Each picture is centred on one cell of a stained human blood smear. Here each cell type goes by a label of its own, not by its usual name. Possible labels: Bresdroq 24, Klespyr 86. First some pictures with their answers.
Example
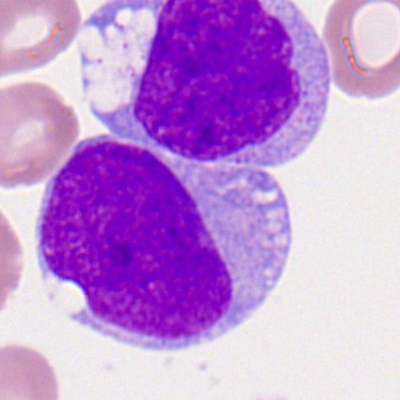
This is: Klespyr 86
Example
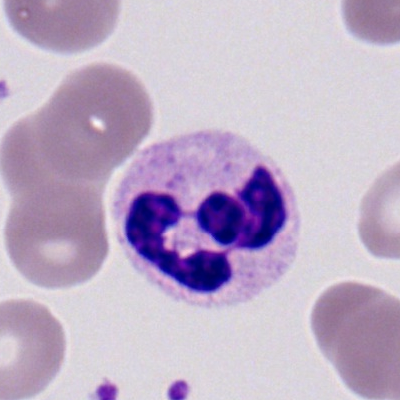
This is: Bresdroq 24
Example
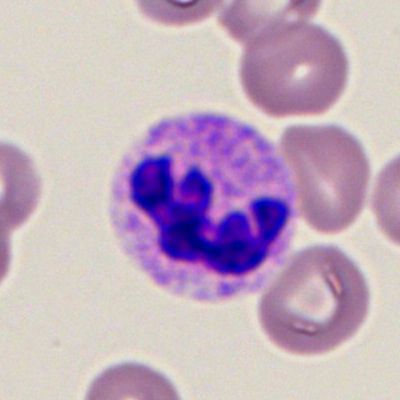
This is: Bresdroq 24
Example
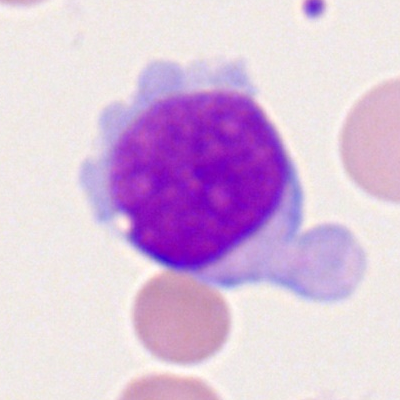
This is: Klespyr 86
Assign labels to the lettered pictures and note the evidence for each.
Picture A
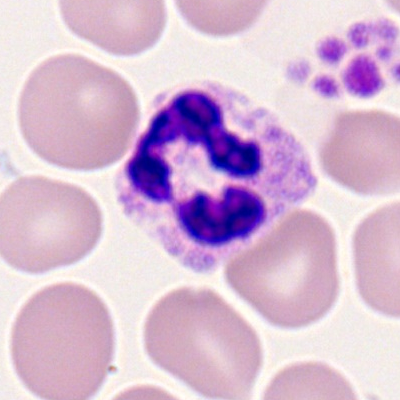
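Bresdroq 24. Reason: The nucleus is divided into several connected lobes arranged in a ring around a pale central area.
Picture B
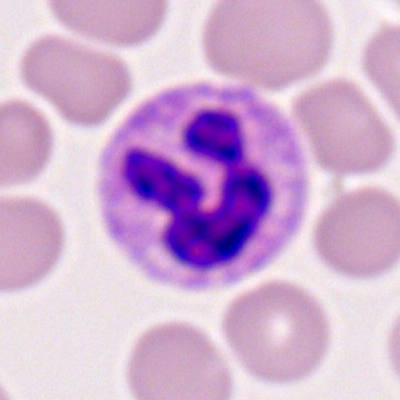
Bresdroq 24. Reason: The cytoplasm is plentiful and pale lilac-pink.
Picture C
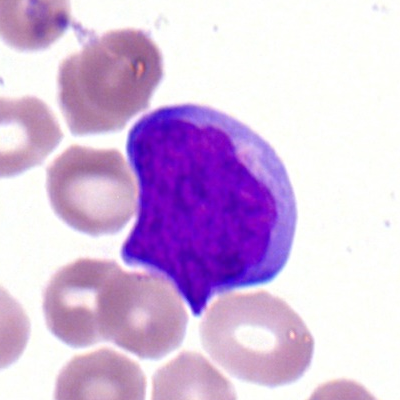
Klespyr 86. Reason: The nucleus fills most of the cell.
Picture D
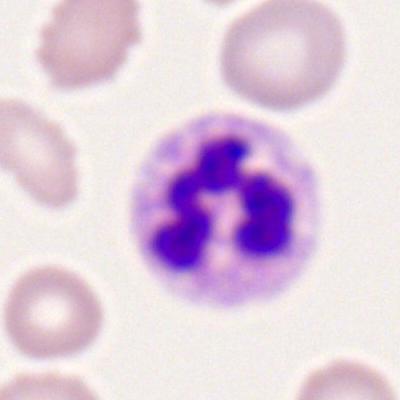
Bresdroq 24. Reason: The nucleus is divided into several separate lobes.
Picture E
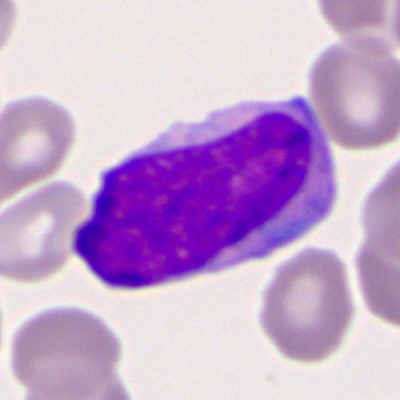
Klespyr 86. Reason: The nucleus is elongated and fills most of the cell.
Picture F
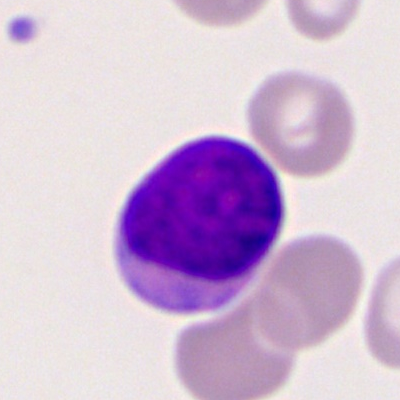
Klespyr 86. Reason: The nucleus fills most of the cell, leaving the cytoplasm as a crescent along the lower edge.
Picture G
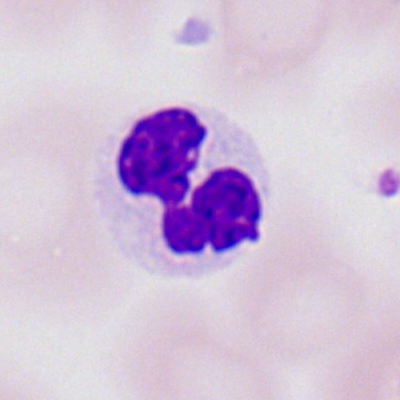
Bresdroq 24. Reason: The nucleus is split into two main lobes, one at upper left and one at lower right.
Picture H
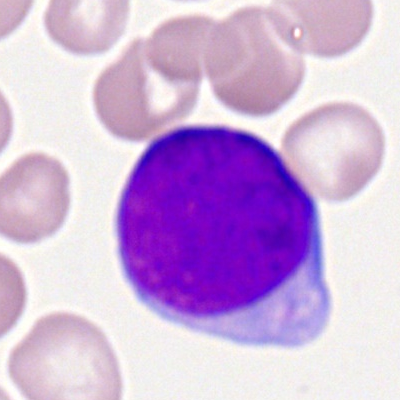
Klespyr 86. Reason: The nucleus fills most of the cell.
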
